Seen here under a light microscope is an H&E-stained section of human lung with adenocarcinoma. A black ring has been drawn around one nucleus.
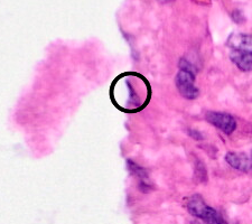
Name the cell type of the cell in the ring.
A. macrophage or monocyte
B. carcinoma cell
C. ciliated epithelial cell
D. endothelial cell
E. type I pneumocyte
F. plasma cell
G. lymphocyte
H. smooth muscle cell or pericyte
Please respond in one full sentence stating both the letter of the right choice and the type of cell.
Here the correct option is D, since the cell in the ring is an endothelial cell.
